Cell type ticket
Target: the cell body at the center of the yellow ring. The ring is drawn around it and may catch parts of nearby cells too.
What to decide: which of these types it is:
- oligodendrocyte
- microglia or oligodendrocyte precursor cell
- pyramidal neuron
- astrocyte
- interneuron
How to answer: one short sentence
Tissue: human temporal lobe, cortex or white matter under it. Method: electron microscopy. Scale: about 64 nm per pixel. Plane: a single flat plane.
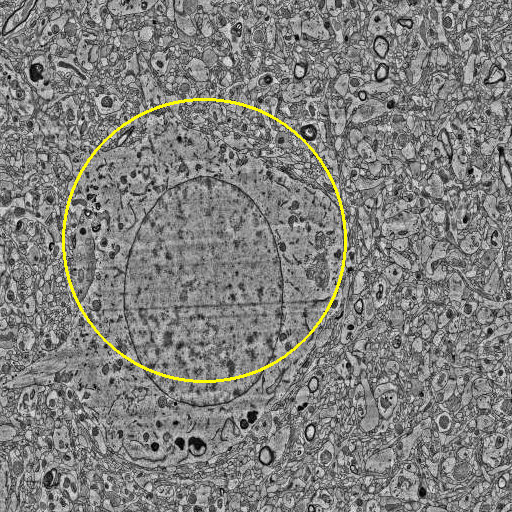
The cell at the center of the ring is a pyramidal neuron.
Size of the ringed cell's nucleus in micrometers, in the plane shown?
Roughly 15 by 10 micrometres is the size of the nucleus in this plane.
